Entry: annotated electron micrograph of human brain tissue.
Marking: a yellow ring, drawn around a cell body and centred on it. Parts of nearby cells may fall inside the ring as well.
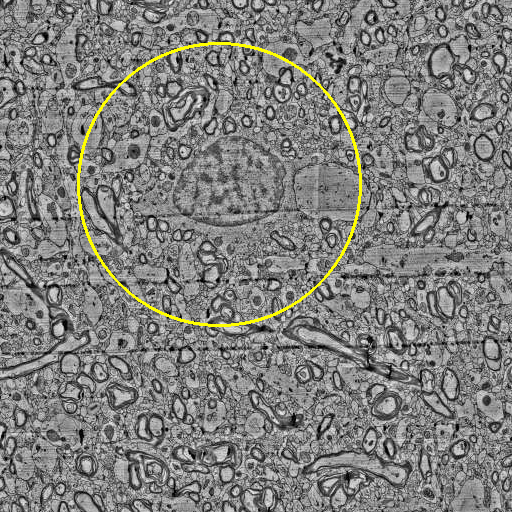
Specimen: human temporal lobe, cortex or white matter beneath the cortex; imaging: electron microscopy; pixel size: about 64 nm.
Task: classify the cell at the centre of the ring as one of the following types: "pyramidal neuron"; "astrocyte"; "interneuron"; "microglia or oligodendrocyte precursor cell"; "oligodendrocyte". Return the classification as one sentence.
The marked cell is classified as an oligodendrocyte.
